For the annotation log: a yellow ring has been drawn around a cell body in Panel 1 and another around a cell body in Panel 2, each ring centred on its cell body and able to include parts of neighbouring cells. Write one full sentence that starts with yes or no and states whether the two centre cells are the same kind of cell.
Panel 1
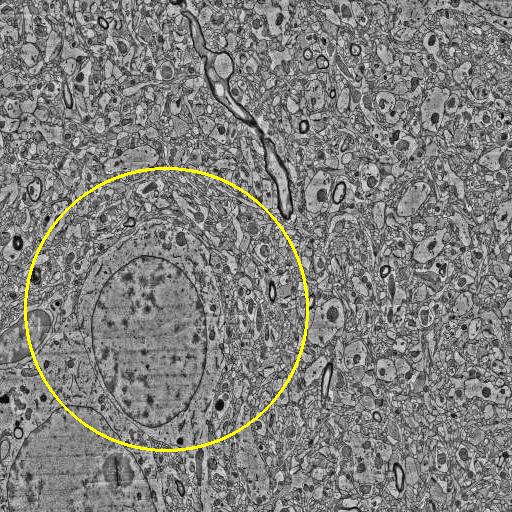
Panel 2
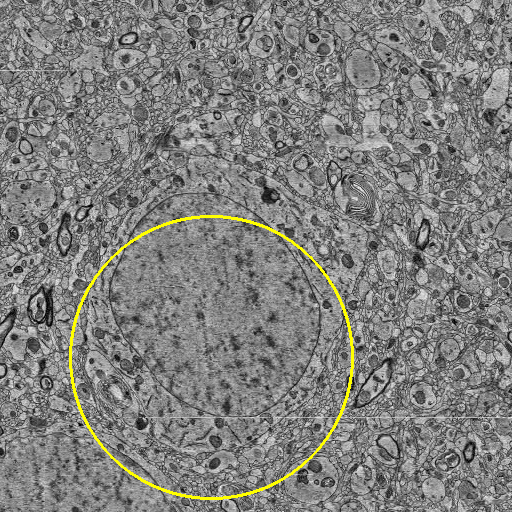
Yes, the two centre cells are the same kind of cell.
